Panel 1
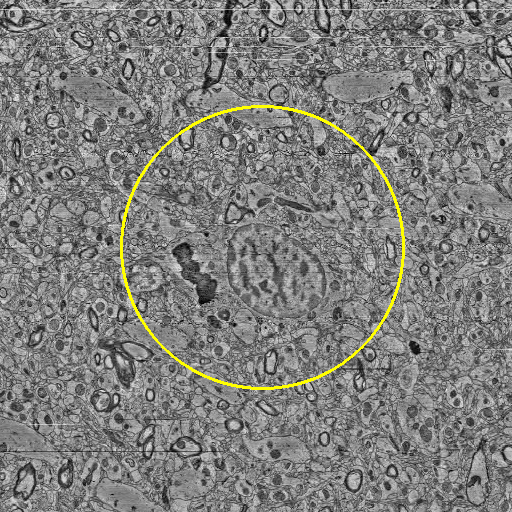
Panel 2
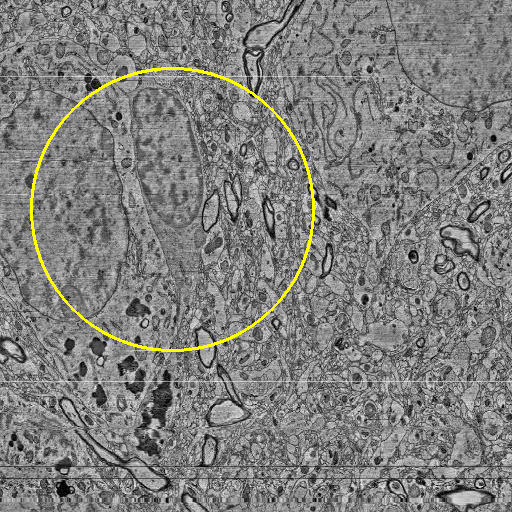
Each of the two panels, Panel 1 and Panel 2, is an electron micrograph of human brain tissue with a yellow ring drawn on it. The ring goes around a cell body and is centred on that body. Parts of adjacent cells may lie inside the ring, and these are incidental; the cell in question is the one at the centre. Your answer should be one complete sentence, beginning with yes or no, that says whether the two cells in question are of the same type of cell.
Yes, the two cells are of the same type.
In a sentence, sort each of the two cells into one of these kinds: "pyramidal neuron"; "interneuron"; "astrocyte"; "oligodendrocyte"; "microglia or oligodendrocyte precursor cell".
The ring centre holds an oligodendrocyte in each of the two pictures.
